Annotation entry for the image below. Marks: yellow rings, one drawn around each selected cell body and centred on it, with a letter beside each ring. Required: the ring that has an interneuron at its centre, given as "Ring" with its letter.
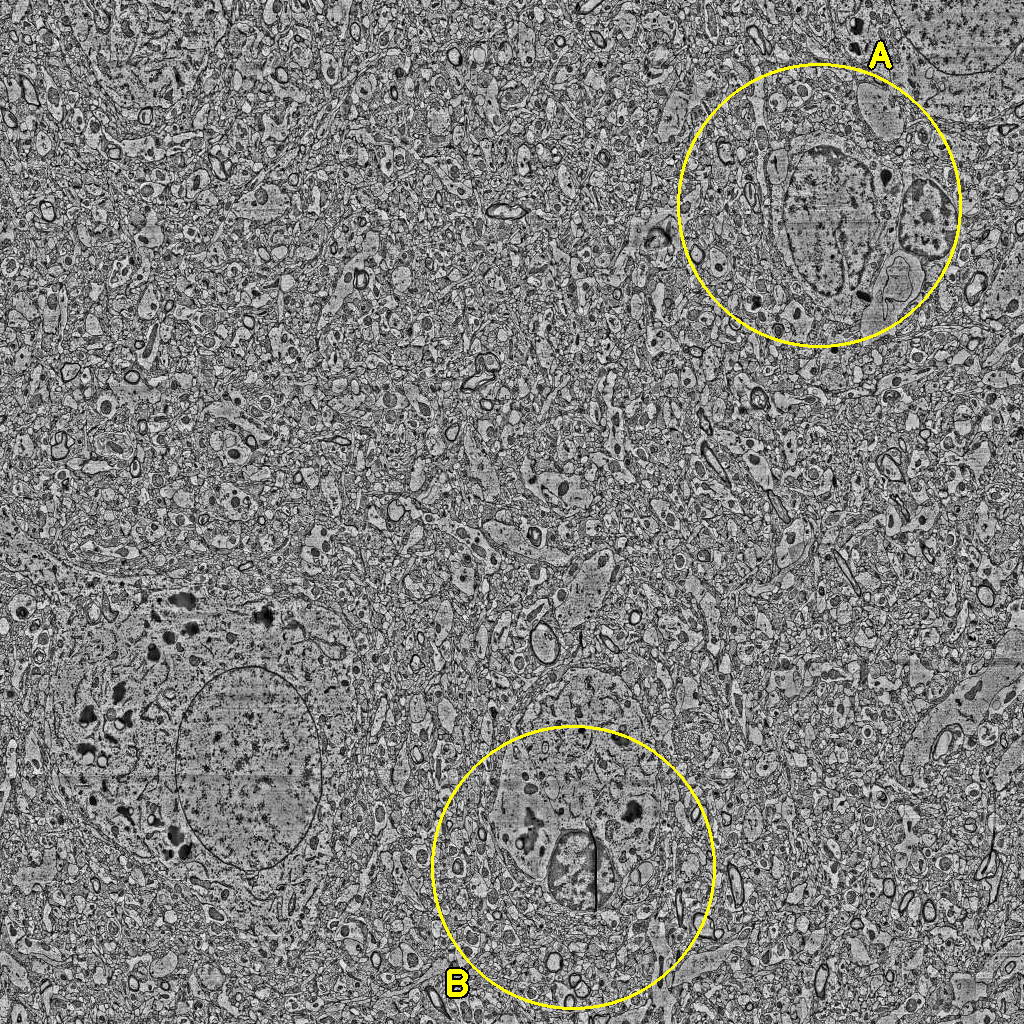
Ring A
